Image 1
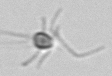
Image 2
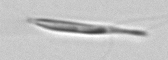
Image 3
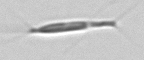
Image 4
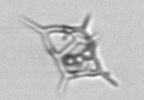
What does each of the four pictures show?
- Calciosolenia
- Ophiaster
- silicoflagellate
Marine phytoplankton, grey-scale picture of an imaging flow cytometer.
Picture 1: Ophiaster
Picture 2: Calciosolenia
Picture 3: Calciosolenia
Picture 4: silicoflagellate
